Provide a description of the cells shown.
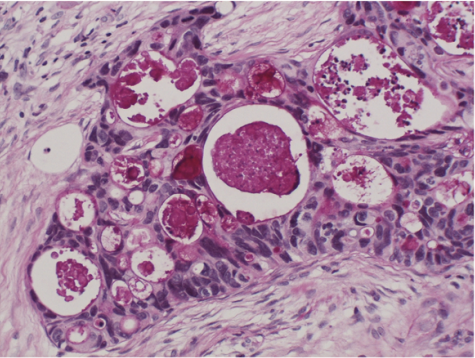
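The tumor cells have dark, oval to irregular nuclei and scant cytoplasm, and they crowd around the spaces, which vary from small vacuoles to large cyst-like lumina. The surrounding stroma consists of pale pink fibres with slender spindle-shaped nuclei and shows no pooled magenta material outside the cell nest.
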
